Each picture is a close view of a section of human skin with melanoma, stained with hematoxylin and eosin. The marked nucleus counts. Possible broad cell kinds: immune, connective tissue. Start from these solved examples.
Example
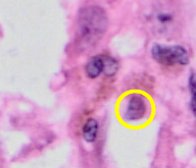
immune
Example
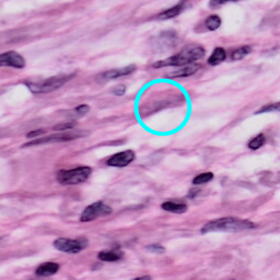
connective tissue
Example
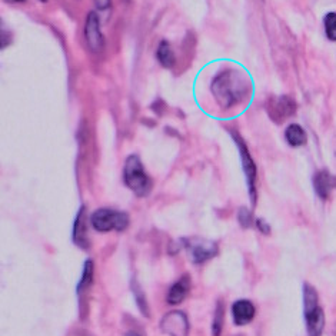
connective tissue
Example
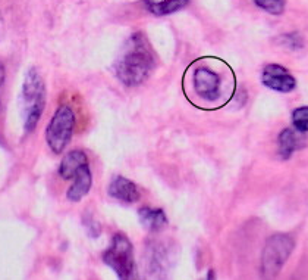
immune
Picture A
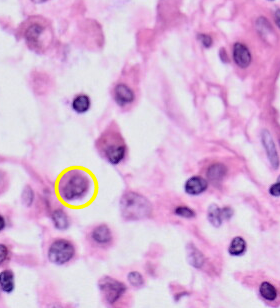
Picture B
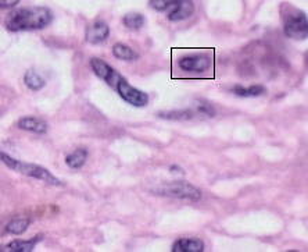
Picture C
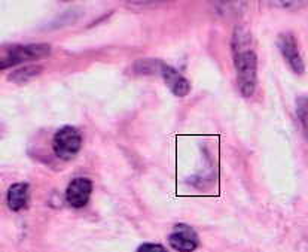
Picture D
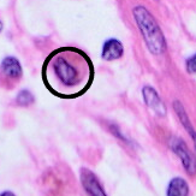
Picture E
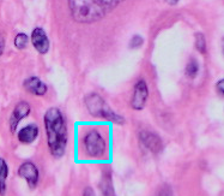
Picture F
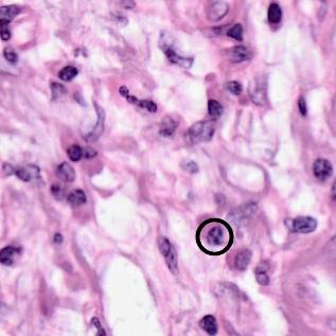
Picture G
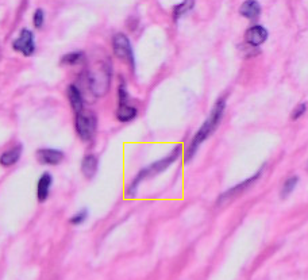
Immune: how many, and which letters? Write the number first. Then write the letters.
Count: 5 (A, B, D, E, F)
